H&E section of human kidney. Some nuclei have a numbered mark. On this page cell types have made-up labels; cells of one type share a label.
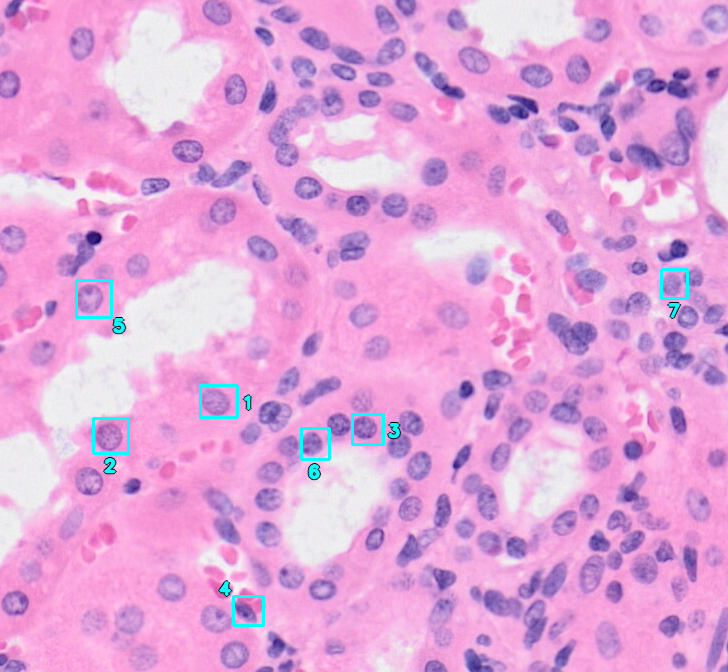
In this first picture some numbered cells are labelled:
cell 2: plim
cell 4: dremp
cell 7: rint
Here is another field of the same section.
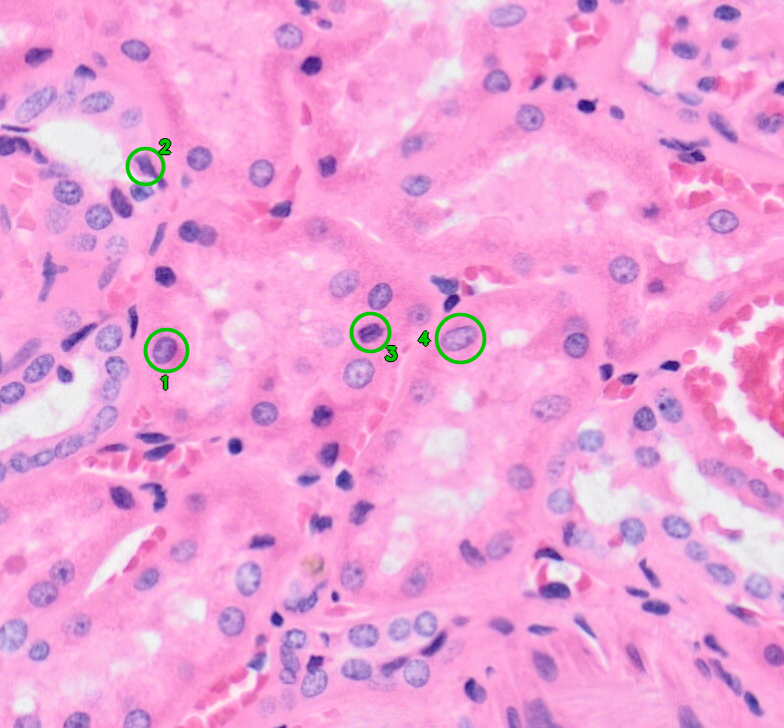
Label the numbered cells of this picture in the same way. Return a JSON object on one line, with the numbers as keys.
{"1": "plim", "2": "rint", "3": "plim", "4": "plim"}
